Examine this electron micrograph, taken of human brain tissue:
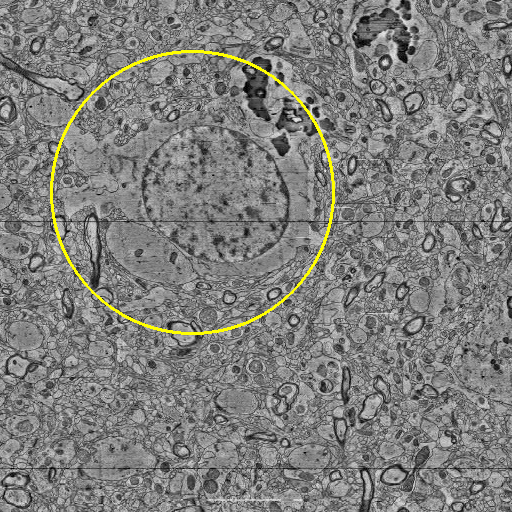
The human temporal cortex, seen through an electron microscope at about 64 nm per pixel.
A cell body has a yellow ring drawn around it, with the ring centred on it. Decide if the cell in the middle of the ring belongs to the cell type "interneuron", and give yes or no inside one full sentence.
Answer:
No, the cell at the centre of the yellow ring in this picture is of a different type.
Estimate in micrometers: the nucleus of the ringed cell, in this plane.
In this plane, roughly 9 micrometres across.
